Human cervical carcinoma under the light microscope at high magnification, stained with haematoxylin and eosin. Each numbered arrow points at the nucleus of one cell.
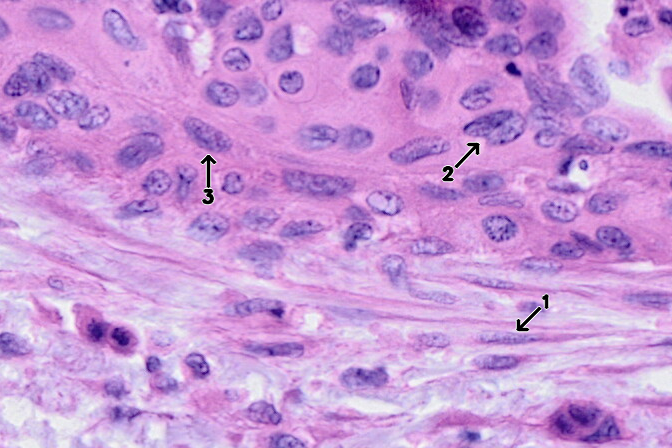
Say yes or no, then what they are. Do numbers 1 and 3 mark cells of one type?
No, cell 1 is recognized as a fibroblast, and cell 3 as a squamous carcinoma cell.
